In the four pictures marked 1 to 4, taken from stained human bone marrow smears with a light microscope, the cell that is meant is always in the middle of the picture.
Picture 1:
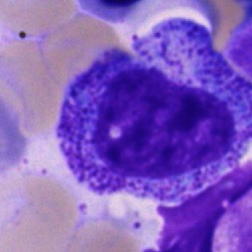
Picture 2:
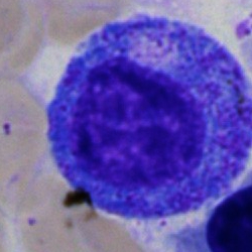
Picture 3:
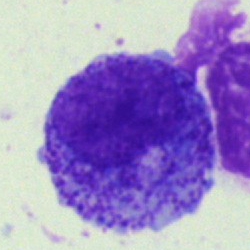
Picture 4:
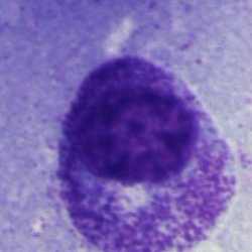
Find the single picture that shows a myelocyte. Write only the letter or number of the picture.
4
